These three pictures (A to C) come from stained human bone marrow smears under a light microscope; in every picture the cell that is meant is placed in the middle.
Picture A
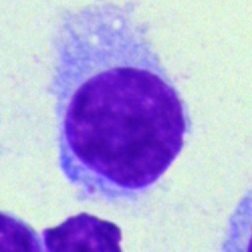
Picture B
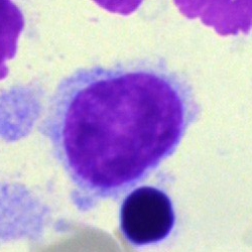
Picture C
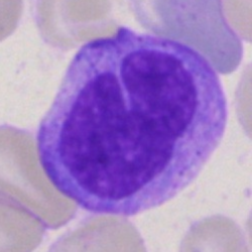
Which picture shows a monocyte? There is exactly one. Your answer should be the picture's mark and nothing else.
C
